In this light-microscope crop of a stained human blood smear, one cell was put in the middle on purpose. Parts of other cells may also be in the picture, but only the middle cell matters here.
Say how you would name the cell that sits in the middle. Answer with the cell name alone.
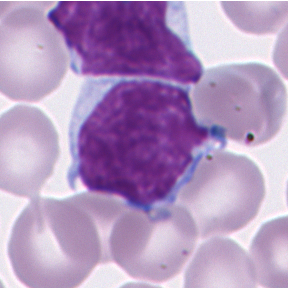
typical lymphocyte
